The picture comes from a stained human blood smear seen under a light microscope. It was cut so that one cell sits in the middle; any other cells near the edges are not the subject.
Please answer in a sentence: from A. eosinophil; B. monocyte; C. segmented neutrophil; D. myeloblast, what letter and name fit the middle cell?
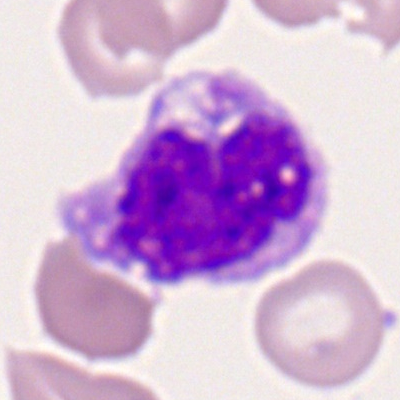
The middle of the crop contains a monocyte, so option B is right.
